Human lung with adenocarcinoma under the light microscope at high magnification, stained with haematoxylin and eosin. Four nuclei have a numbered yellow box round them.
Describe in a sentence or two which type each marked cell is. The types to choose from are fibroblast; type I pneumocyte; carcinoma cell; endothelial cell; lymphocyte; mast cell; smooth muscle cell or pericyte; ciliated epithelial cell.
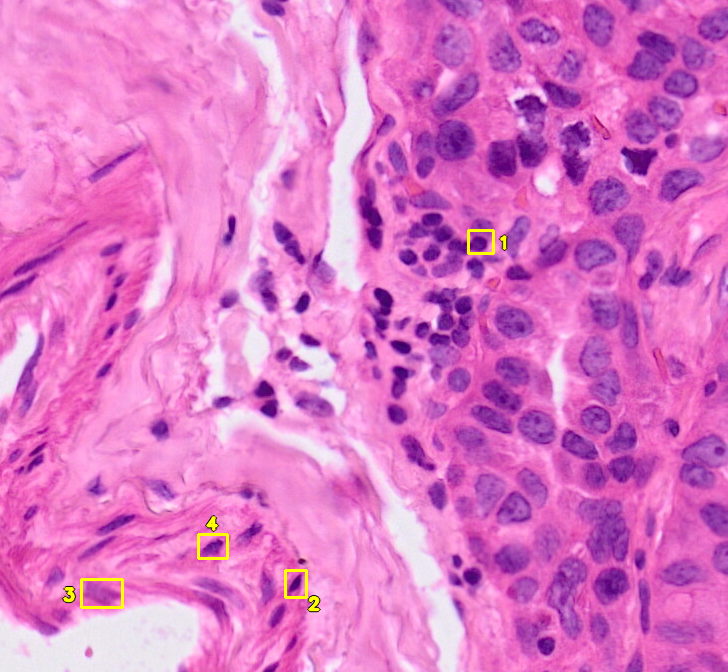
Cell 1 is a lymphocyte, cell 2 is a smooth muscle cell or pericyte, cell 3 is a smooth muscle cell or pericyte and cell 4 is a smooth muscle cell or pericyte.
